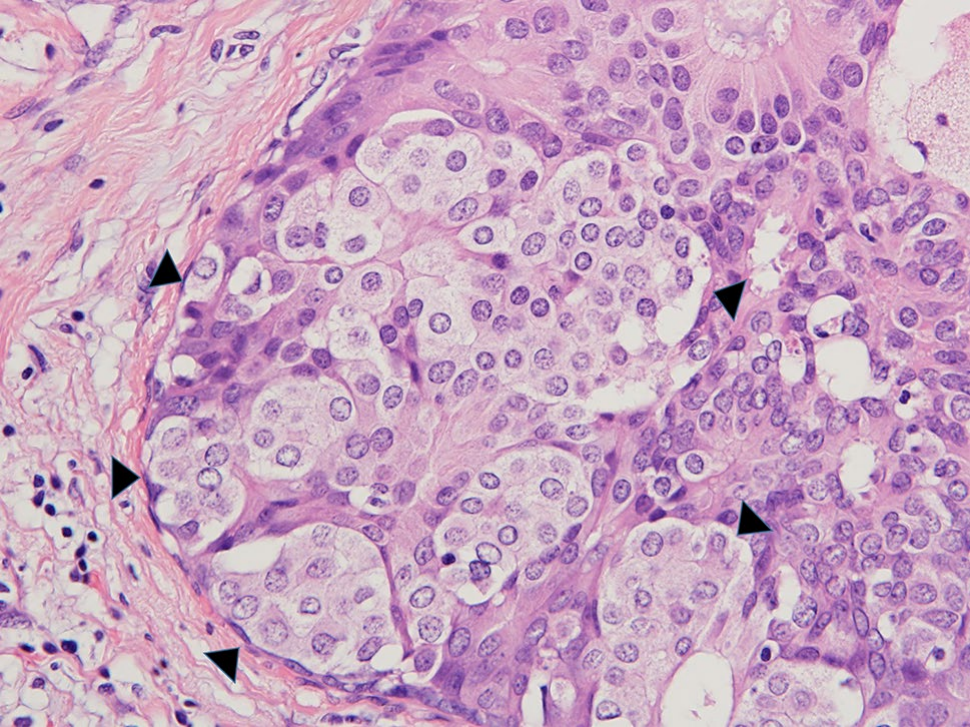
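This is a tumor at high power, where two kinds of tumor cells lie side by side. Several rounded nests are made of cells with pale, faint, almost clear cytoplasm and round to oval nuclei, evenly spaced with fine chromatin and small nucleoli. Wrapped around and between these pale nests are tumor cells with pink cytoplasm and more crowded, darker, elongated nuclei, some lining up in columns and forming small glandular spaces toward the upper right. On the left, loose pale-pink fibrous stroma with scattered small dark cells lies beyond the edge of the tumor.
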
